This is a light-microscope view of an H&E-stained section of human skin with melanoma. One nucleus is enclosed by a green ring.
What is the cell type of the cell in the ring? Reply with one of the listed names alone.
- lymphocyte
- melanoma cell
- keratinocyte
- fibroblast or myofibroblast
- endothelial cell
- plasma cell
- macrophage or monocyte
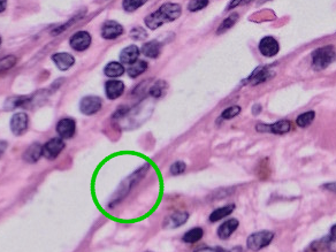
endothelial cell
